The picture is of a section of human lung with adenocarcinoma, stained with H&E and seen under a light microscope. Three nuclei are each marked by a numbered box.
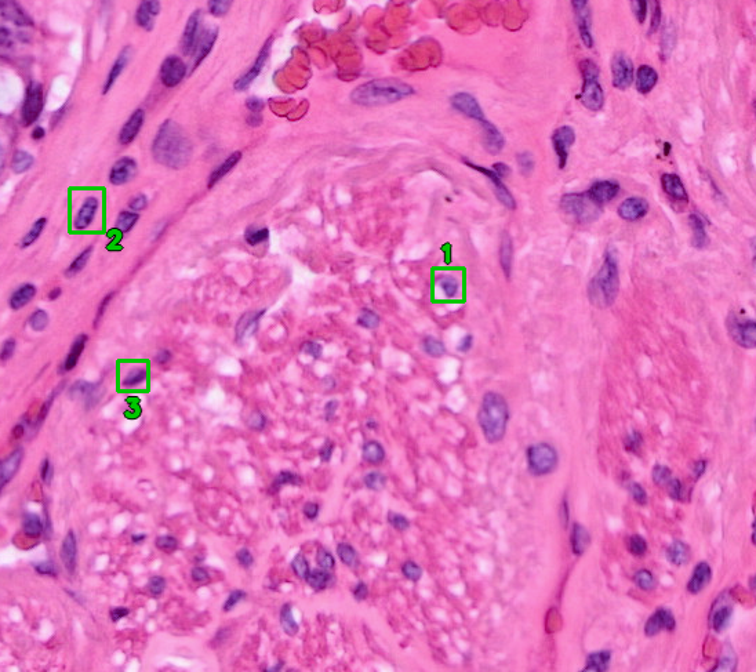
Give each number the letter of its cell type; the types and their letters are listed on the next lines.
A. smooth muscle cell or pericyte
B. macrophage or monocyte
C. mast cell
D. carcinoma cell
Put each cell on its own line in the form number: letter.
1: A
2: C
3: A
